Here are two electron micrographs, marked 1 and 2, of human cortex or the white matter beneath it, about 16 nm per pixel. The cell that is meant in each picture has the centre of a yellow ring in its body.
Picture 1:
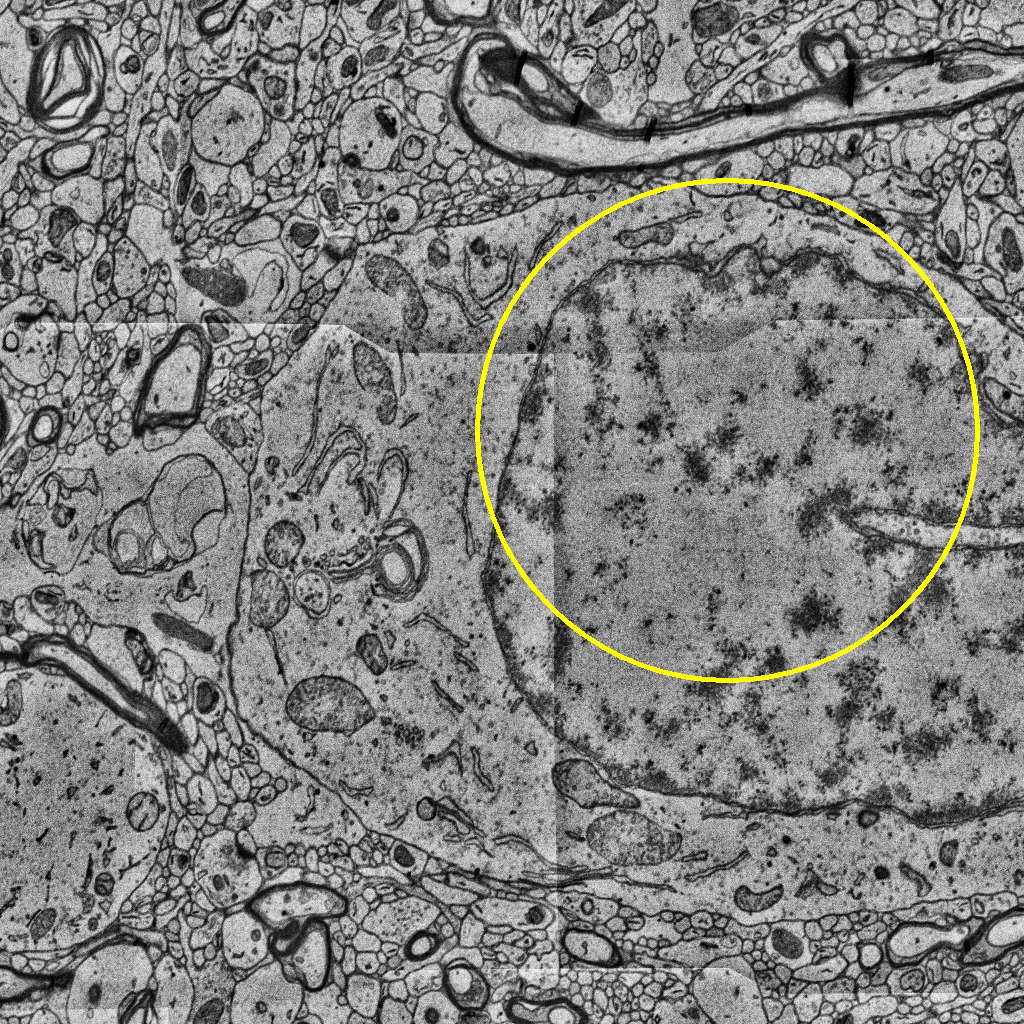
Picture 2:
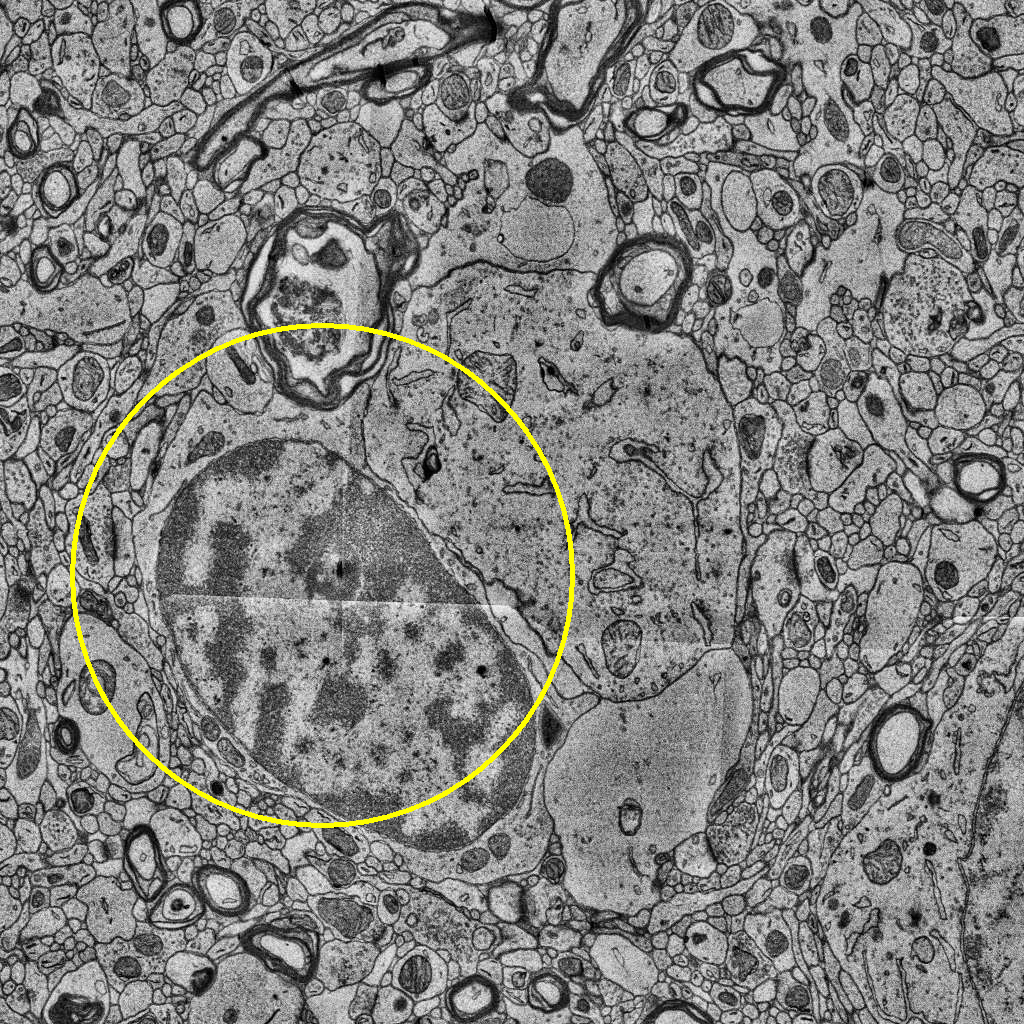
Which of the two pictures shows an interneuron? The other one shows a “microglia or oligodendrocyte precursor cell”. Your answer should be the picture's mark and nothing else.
1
